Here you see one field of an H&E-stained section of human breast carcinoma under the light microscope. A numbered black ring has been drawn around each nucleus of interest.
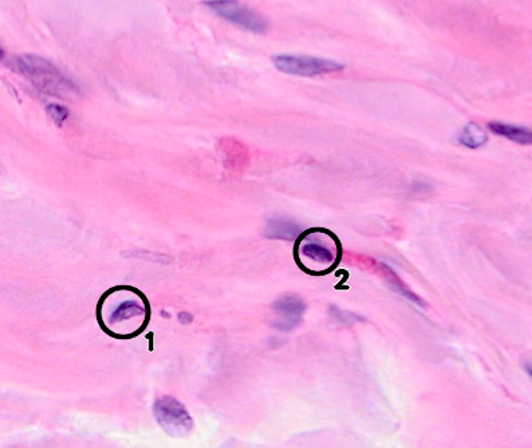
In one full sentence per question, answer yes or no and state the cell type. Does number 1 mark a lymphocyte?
No, cell 1 is not a lymphocyte at all but a fibroblast.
